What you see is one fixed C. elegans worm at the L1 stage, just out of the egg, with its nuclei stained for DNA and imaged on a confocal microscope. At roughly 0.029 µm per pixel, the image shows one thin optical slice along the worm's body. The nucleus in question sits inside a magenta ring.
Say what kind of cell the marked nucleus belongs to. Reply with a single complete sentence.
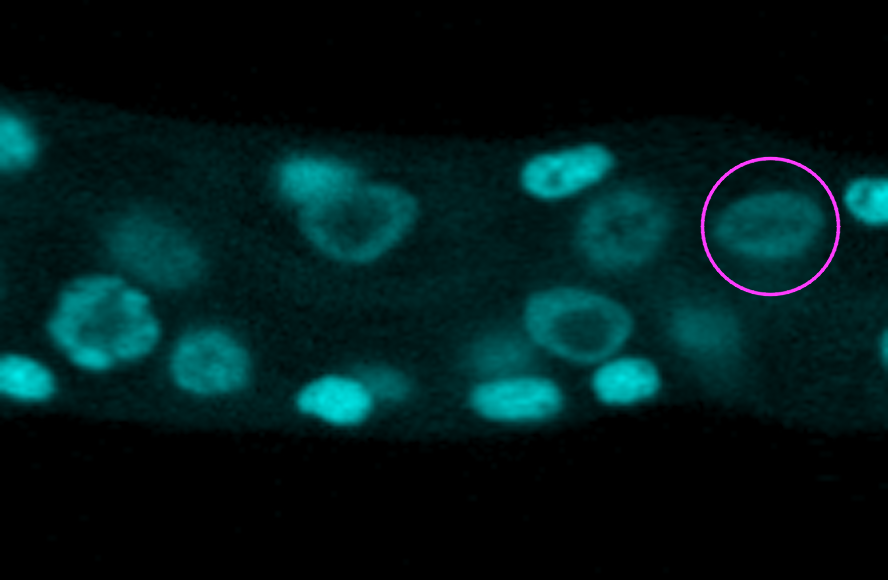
The nucleus comes from an intestinal cell.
